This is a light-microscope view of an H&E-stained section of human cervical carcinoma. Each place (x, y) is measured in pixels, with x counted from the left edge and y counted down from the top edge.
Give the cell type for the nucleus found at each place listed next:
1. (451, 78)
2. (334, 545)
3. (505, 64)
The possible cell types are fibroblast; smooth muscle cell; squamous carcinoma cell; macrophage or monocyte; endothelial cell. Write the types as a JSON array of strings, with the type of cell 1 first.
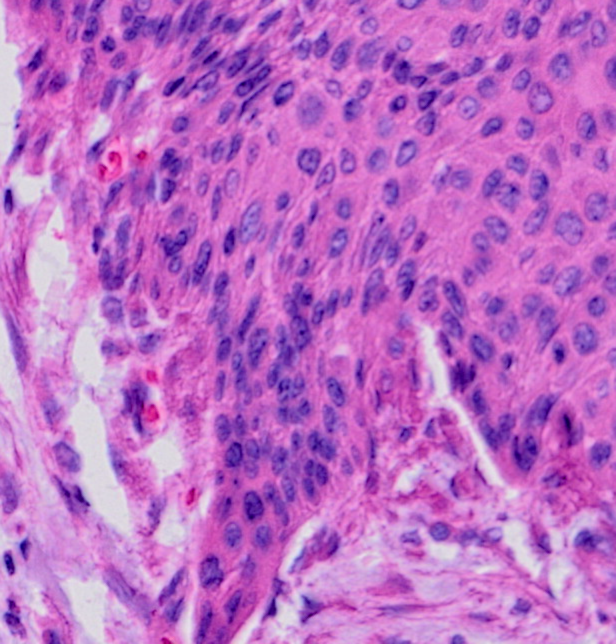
["squamous carcinoma cell", "fibroblast", "squamous carcinoma cell"]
